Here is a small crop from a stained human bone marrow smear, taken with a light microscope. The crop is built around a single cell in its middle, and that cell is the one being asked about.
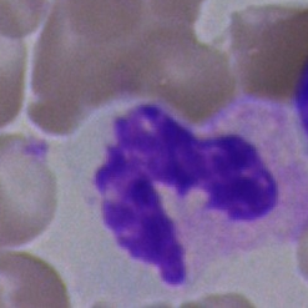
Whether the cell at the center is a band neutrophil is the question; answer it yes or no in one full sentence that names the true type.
No, what is centred in the crop is not a band neutrophil but a segmented neutrophil.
